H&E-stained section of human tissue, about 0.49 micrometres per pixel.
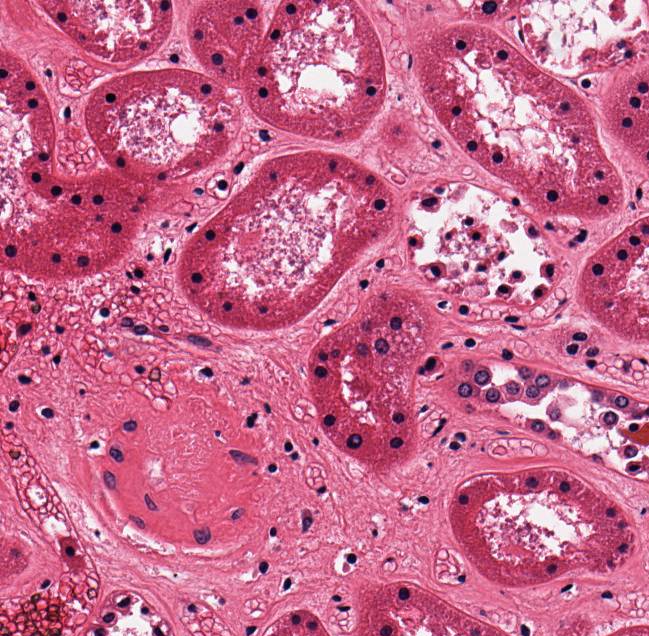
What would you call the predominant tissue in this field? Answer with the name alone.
cortical labyrinth of the kidney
